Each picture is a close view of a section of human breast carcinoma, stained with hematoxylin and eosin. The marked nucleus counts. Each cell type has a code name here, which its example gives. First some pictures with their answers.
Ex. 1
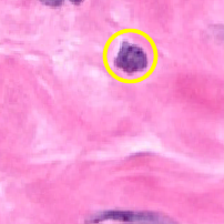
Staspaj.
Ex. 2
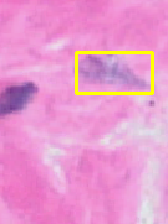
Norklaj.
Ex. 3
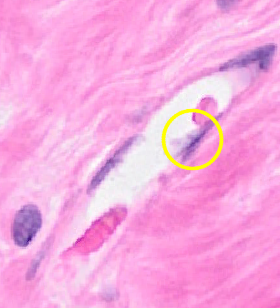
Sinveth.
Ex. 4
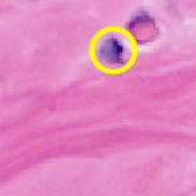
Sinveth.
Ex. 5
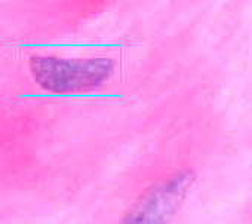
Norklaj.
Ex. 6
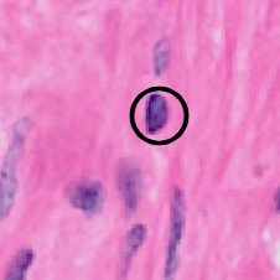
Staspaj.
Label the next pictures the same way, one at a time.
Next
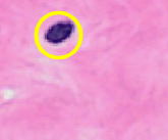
Staspaj.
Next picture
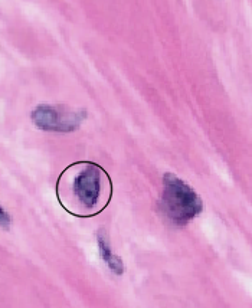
Staspaj.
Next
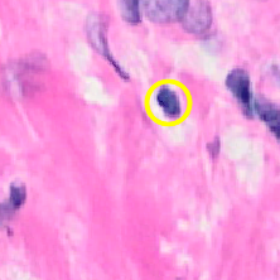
Staspaj.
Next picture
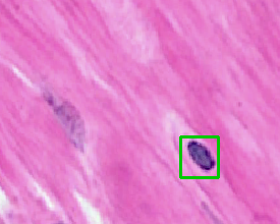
Staspaj.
